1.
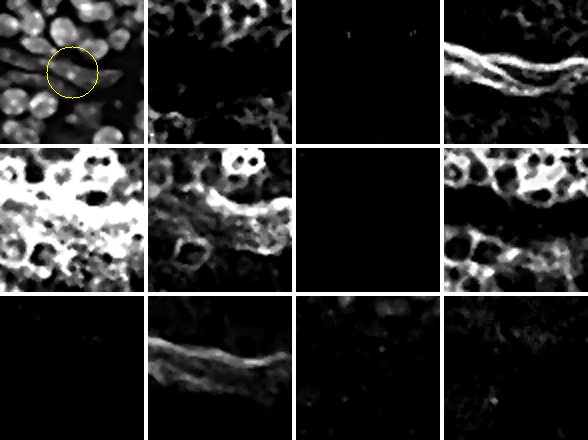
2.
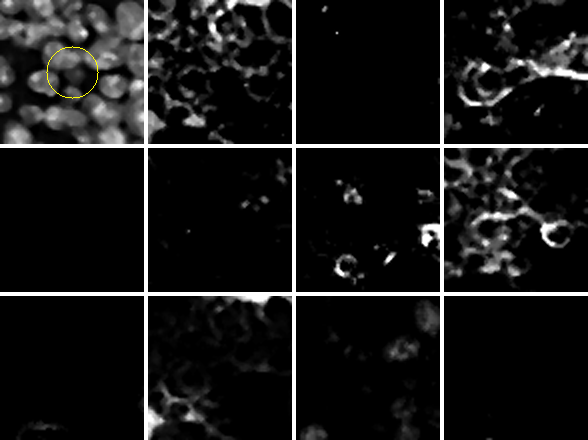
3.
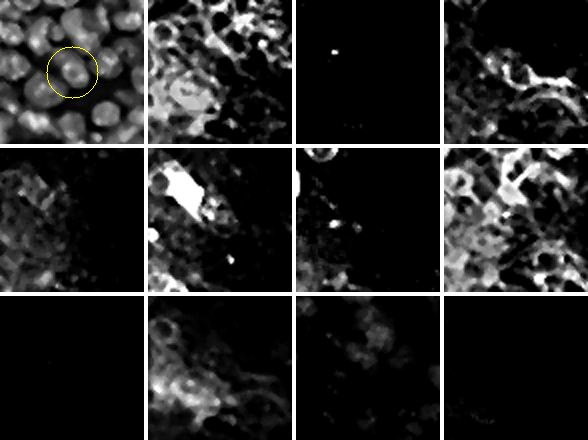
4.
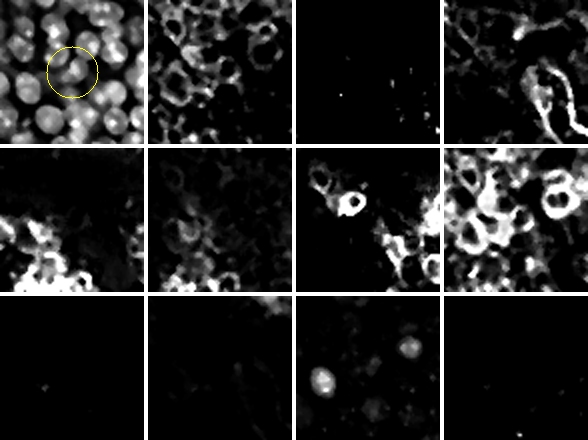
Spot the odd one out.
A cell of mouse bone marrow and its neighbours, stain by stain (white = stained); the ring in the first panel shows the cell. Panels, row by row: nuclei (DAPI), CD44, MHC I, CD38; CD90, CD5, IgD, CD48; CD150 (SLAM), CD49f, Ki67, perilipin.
Picture 4 (a monocyte among capillary endothelial cells).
